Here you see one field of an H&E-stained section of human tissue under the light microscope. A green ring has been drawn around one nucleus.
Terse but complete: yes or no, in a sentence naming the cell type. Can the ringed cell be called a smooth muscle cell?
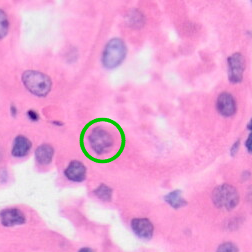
No, as a cell type, the ringed cell is a proximal tubule cell rather than a smooth muscle cell.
